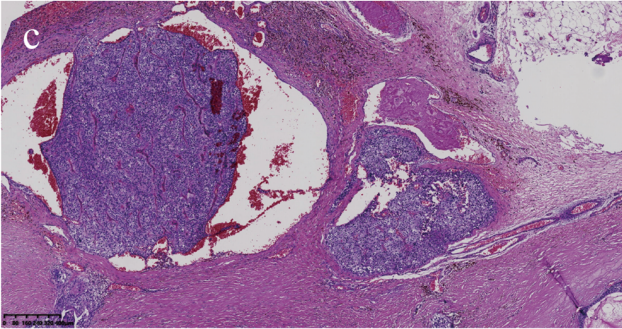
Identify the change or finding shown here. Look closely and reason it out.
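Invading blood vessels. Rounded nests of densely packed purple tumor cells lie inside open, vessel-like spaces. Red blood cells line the spaces around the tumor nests. The spaces are set within pink fibrous tissue.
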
